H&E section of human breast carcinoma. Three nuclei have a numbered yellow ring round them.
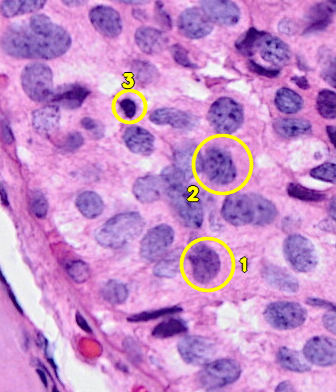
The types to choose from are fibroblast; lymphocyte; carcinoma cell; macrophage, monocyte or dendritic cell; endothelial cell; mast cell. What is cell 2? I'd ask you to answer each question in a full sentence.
The numbered cell 2 in this field is a carcinoma cell.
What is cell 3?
Number 3 among the marked cells is a lymphocyte.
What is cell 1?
To a carcinoma cell belongs the nucleus marked 1.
